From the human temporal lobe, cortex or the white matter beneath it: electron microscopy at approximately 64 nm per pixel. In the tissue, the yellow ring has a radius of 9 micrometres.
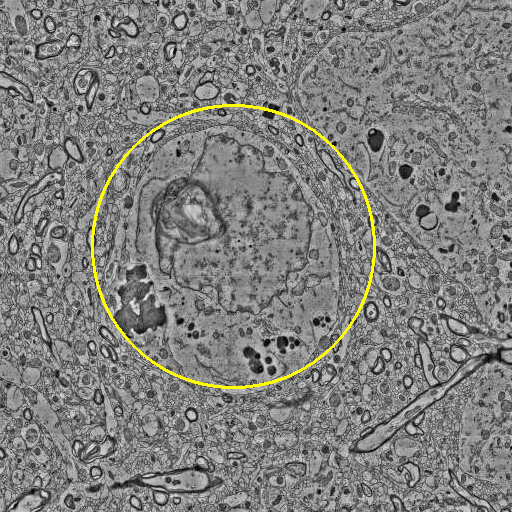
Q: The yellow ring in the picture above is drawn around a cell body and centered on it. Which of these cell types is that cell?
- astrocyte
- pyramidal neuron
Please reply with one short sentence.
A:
The cell body at the ring's center belongs to a pyramidal neuron.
